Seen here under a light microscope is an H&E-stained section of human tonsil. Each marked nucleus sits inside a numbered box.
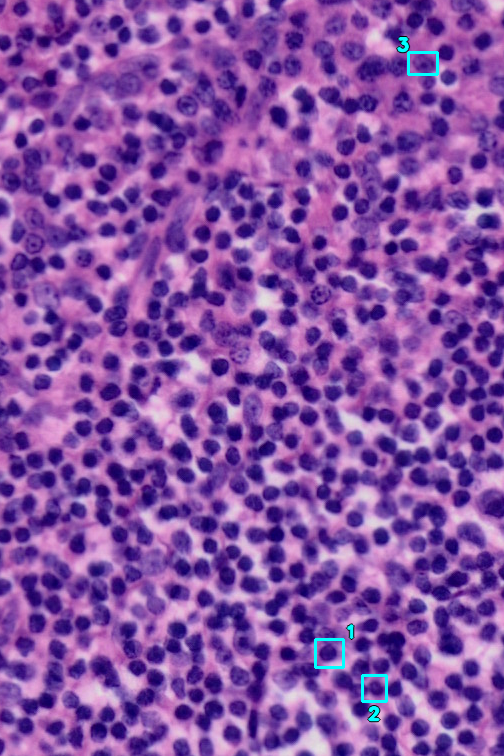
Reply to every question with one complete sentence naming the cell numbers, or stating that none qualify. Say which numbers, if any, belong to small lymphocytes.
The cells which carry the numbers 1 and 2 are small lymphocytes.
